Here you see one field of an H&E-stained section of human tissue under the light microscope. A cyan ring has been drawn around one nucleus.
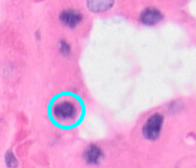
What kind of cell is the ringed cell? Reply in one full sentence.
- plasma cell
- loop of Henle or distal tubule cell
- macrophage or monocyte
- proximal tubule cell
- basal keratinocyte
This is a loop of Henle or distal tubule cell.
